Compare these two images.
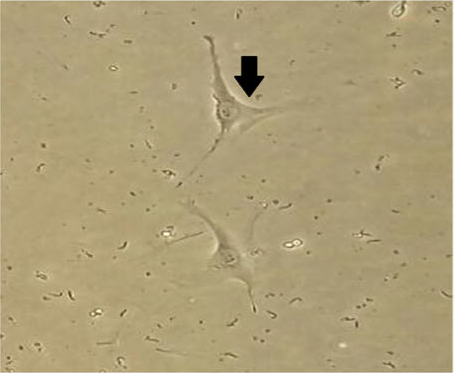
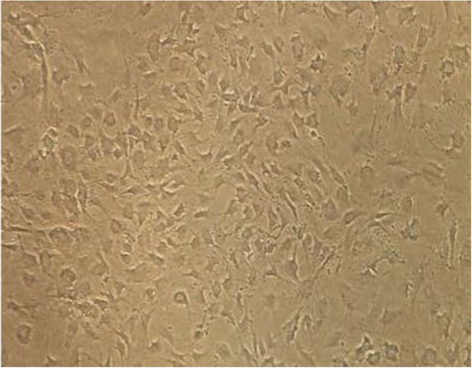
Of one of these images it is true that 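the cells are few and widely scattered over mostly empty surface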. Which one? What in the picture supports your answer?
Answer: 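Second image: cells crowd the field and touch one another across nearly the whole surface. First image: only a couple of isolated cells lie on a largely empty background. So: the first image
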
